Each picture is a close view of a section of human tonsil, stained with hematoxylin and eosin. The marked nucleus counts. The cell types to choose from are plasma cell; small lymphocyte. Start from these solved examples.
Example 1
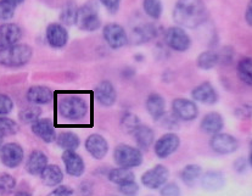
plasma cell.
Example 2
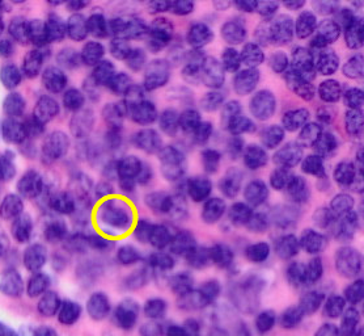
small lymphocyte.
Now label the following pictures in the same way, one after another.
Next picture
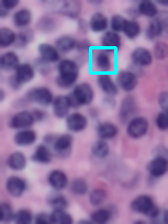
small lymphocyte.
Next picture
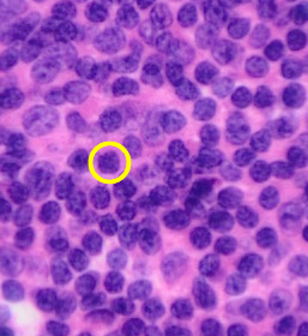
small lymphocyte.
